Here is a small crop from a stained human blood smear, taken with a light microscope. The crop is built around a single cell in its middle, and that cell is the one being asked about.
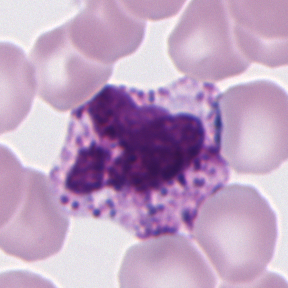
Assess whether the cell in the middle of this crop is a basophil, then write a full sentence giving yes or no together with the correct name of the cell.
Yes, the crop is centred on a basophil.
